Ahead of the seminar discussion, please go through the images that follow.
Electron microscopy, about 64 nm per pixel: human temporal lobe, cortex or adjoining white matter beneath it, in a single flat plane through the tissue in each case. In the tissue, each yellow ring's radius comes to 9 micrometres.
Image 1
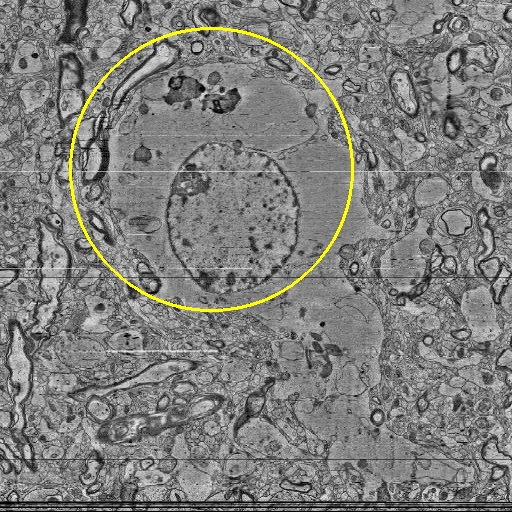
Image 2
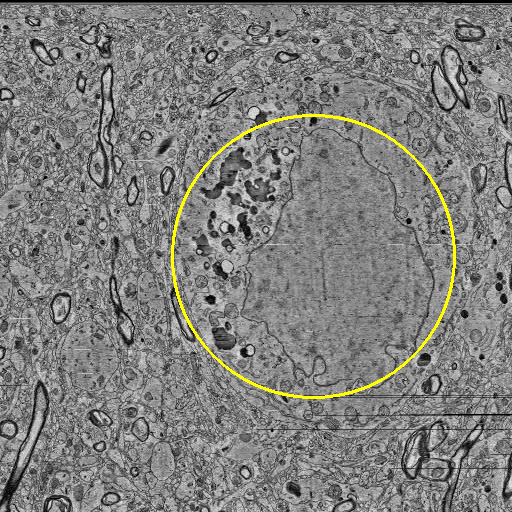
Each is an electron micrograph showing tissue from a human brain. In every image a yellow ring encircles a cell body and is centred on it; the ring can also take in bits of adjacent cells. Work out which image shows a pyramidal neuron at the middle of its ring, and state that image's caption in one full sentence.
In Image 2, the ring's centre holds the cell you are looking for.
